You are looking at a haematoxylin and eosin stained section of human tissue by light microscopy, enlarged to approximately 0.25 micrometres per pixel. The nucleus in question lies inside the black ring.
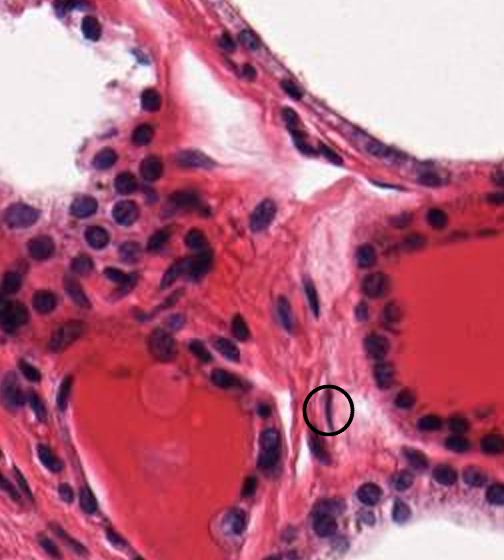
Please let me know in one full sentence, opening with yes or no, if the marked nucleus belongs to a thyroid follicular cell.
No, rather than a thyroid follicular cell, it is a supporting cell that contains the marked nucleus.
